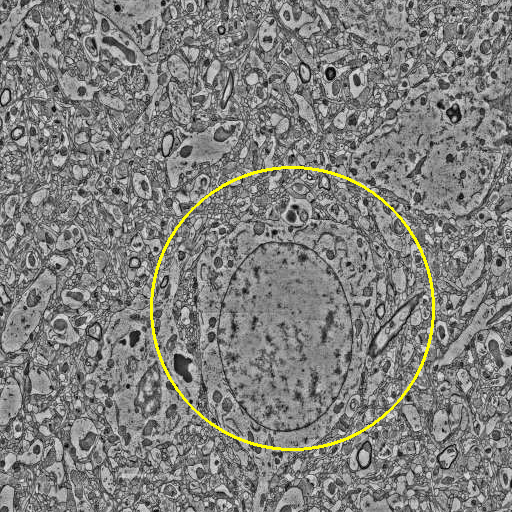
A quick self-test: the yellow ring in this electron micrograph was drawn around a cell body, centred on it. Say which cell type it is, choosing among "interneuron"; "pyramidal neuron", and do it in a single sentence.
The yellow-ringed cell is a pyramidal neuron.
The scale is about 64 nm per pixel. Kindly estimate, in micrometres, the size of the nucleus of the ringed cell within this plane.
Approximately 12 x 9 micrometres in this plane.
